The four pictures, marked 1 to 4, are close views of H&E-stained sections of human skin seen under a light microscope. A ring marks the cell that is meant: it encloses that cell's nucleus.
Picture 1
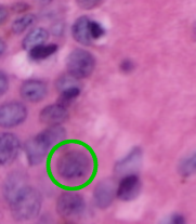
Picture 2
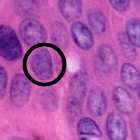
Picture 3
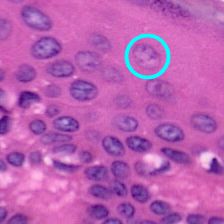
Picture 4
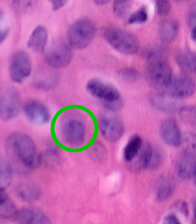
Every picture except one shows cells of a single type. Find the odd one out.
3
